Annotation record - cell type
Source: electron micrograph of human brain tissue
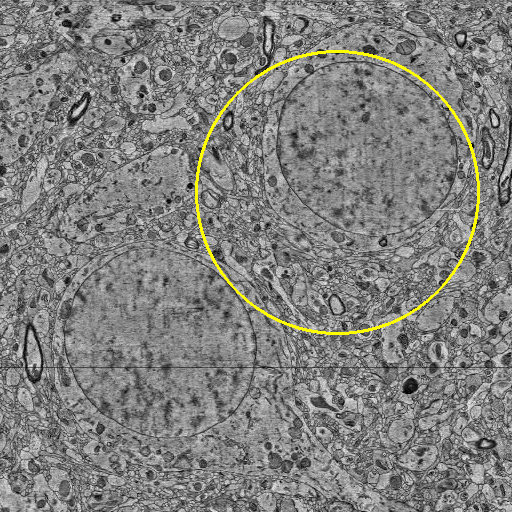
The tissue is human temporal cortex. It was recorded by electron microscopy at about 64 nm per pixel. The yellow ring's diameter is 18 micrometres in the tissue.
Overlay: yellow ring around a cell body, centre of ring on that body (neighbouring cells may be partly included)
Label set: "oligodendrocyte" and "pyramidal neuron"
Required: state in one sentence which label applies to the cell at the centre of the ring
This cell should be labelled as a pyramidal neuron.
